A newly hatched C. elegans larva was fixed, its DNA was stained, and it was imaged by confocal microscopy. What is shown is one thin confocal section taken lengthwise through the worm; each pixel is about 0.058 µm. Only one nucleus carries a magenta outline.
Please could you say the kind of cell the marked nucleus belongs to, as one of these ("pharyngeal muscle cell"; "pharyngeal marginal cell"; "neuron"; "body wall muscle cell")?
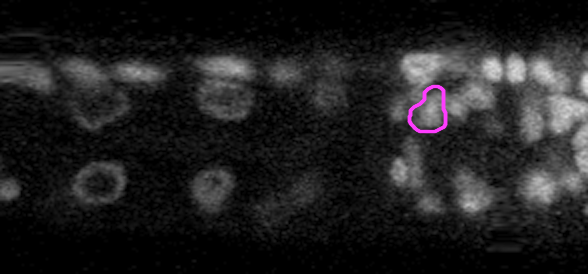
pharyngeal muscle cell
